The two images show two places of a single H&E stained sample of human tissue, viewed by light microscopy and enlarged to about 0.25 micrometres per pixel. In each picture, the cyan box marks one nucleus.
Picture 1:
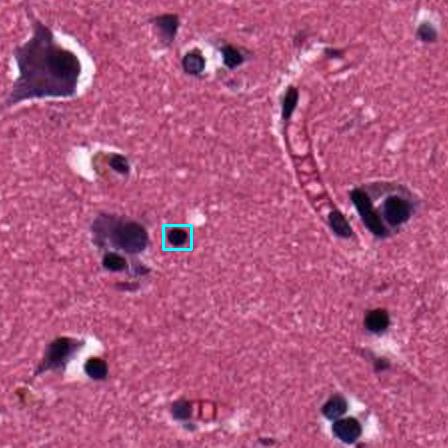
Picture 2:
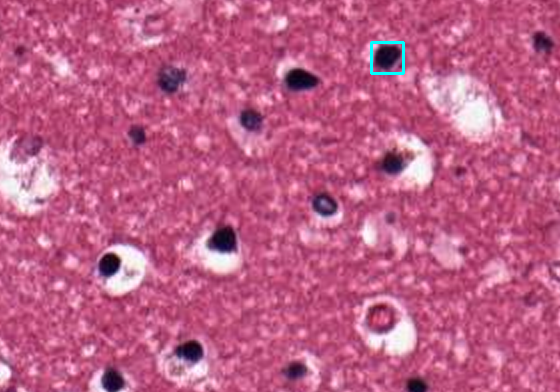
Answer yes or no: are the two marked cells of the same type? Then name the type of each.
Yes, both are oligodendrocytes.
